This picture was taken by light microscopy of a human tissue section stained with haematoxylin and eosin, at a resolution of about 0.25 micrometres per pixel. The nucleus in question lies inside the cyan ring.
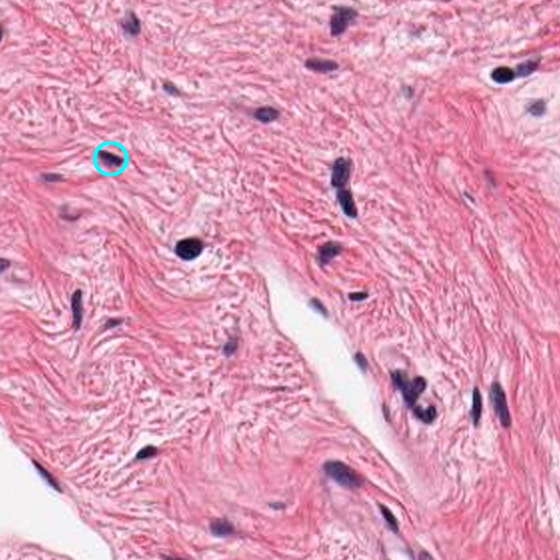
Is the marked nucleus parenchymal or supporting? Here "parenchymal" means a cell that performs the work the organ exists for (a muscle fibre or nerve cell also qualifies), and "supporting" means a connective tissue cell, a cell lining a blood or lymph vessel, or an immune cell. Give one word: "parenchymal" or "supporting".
supporting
